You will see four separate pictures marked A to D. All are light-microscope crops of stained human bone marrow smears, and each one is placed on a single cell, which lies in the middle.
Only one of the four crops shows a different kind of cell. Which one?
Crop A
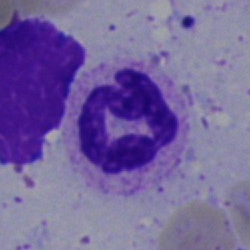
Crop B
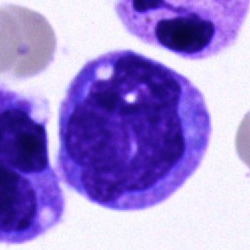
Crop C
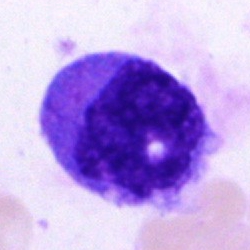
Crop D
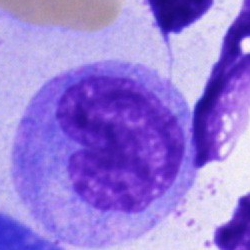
A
